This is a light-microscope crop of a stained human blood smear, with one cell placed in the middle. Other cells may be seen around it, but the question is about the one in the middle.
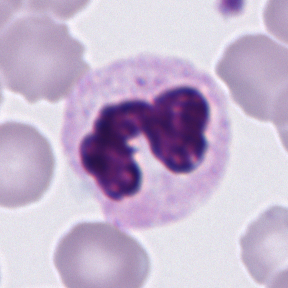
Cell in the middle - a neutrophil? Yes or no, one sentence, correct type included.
Yes, the cell occupying the middle of the crop is a neutrophil.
